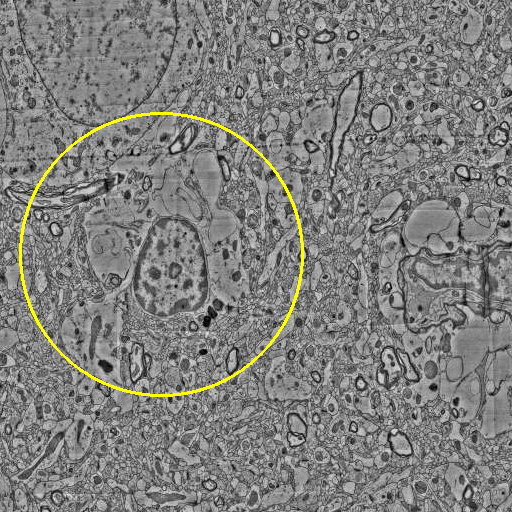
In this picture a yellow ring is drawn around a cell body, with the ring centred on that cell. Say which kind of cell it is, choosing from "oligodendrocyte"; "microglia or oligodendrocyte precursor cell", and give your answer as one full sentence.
Here it is a microglial cell or oligodendrocyte precursor cell that sits at the centre of the drawn yellow ring.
